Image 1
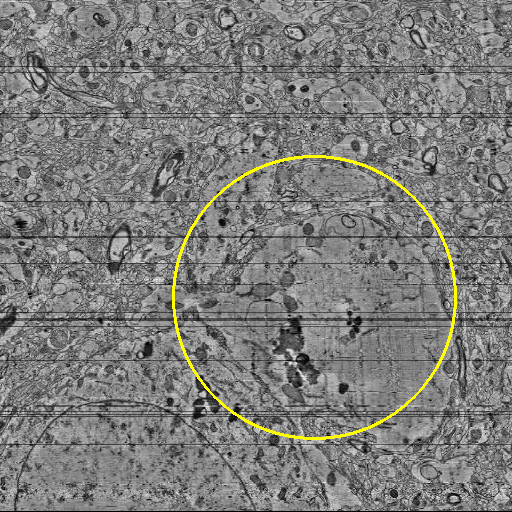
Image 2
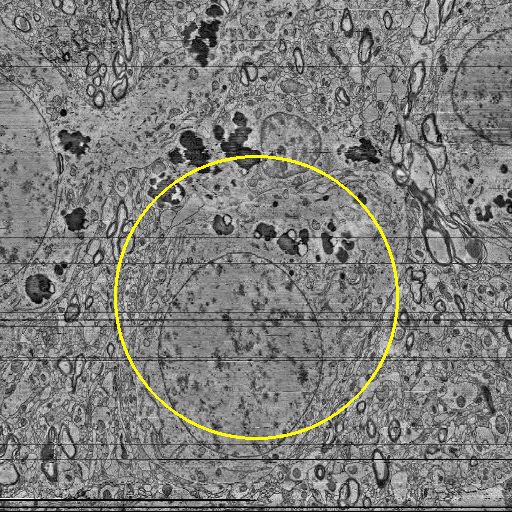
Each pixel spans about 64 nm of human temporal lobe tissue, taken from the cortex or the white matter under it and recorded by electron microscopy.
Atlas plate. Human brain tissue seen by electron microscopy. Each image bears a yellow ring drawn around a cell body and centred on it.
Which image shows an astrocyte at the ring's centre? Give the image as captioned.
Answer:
Image 1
